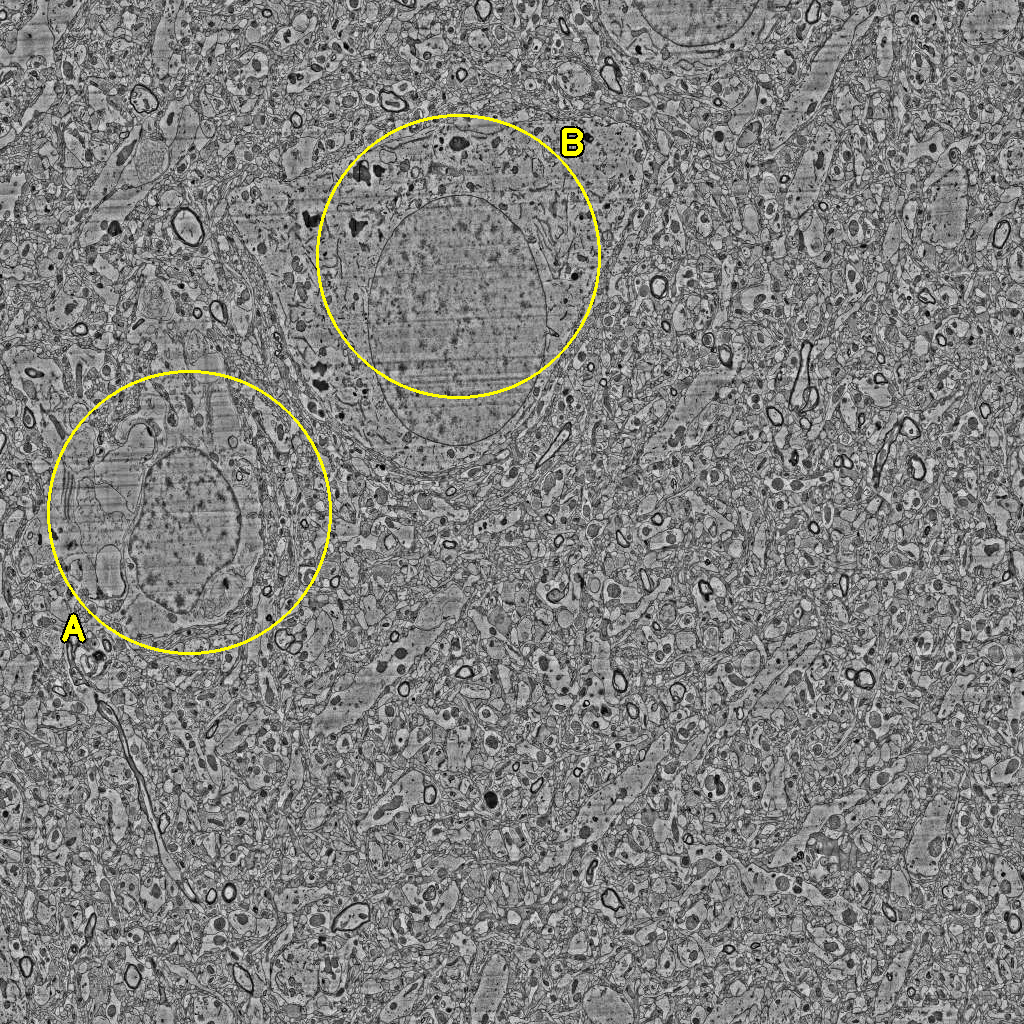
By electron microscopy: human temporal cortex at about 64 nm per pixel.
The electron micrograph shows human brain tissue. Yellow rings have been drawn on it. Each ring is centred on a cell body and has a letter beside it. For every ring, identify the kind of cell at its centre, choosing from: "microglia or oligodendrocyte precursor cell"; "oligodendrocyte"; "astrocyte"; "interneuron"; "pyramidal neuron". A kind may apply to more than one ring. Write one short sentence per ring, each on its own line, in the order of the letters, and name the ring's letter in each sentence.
Ring A is centred on an astrocyte.
Ring B is centred on a pyramidal neuron.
